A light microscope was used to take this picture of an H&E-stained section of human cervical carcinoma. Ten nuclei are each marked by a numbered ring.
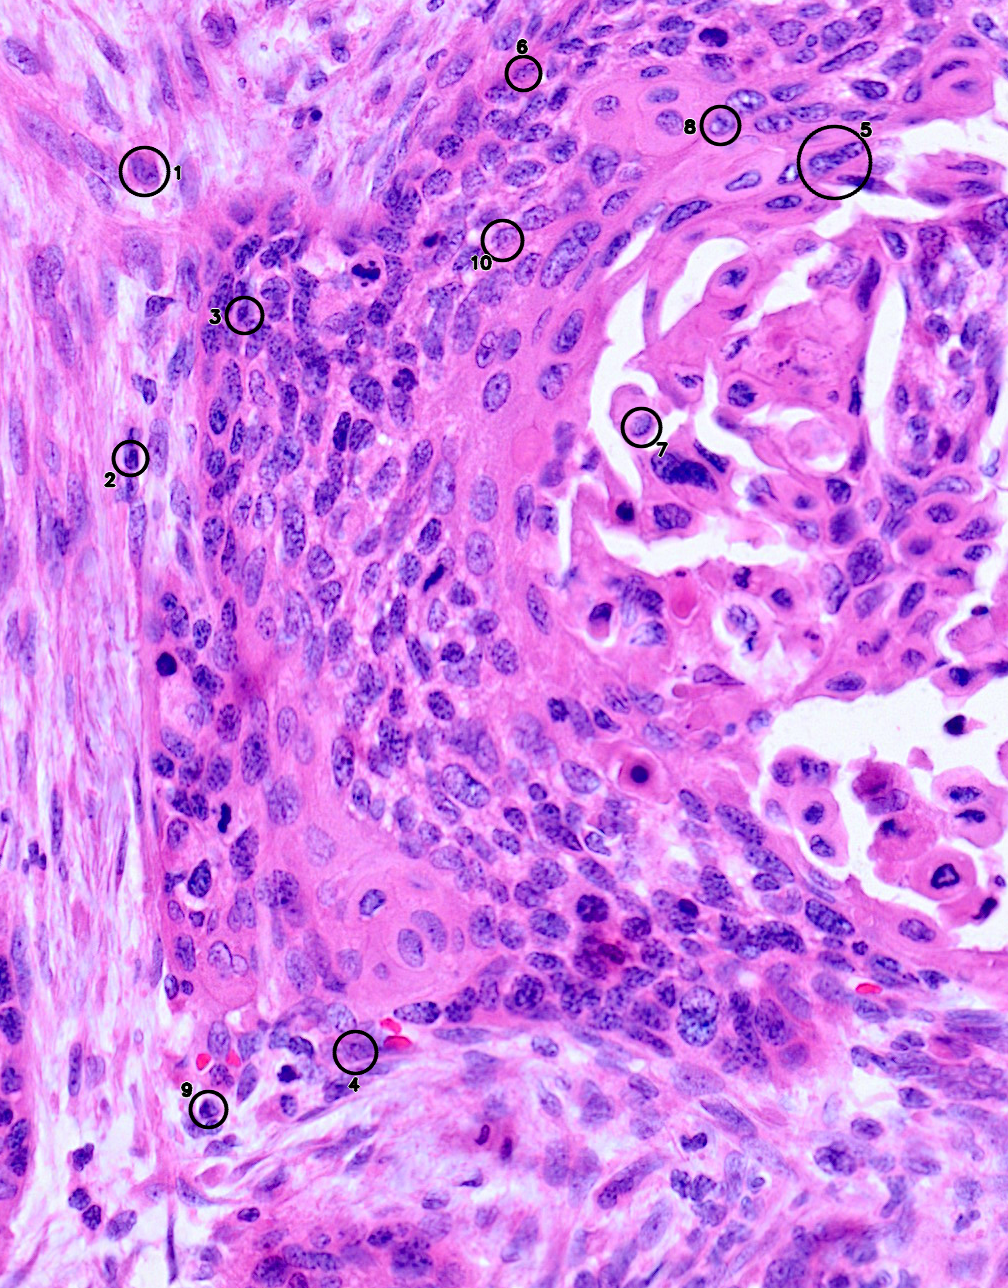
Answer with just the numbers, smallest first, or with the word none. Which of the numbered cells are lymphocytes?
2, 9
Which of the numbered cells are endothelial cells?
4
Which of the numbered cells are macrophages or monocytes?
1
